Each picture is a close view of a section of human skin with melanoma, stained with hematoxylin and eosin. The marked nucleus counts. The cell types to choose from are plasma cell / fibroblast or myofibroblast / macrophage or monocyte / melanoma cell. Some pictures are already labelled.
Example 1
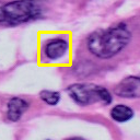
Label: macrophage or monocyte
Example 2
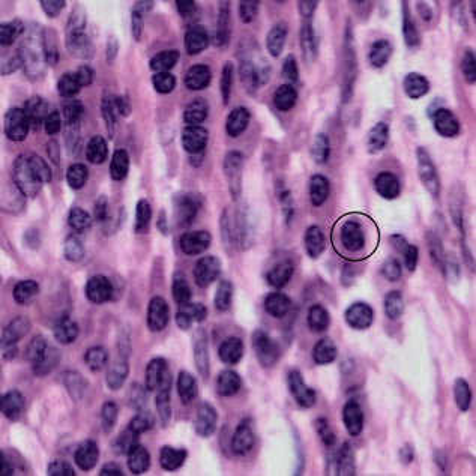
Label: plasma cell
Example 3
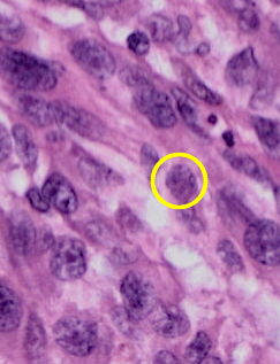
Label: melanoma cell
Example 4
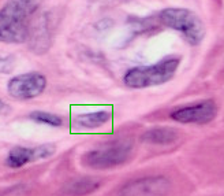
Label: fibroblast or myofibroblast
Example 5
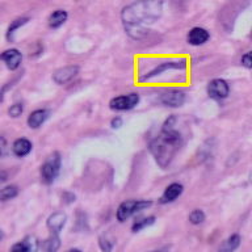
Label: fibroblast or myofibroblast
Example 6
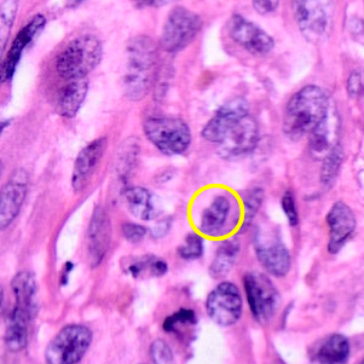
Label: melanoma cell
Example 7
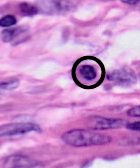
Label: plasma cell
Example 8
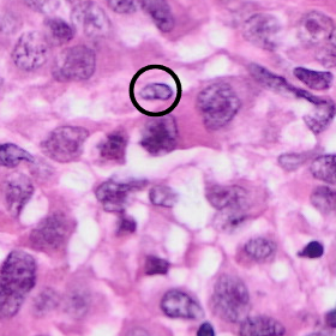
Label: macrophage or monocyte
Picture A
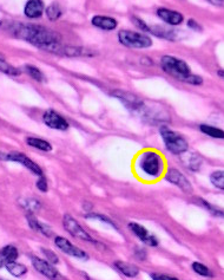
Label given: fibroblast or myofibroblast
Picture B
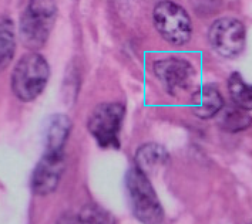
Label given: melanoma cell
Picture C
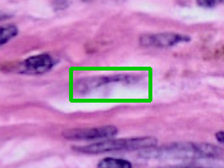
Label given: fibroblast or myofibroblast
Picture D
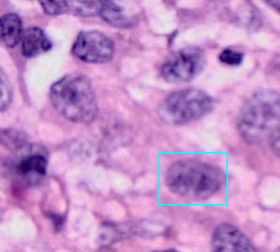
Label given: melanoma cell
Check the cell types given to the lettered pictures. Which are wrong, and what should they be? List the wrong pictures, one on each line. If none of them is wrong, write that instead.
A should be plasma cell, not fibroblast or myofibroblast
